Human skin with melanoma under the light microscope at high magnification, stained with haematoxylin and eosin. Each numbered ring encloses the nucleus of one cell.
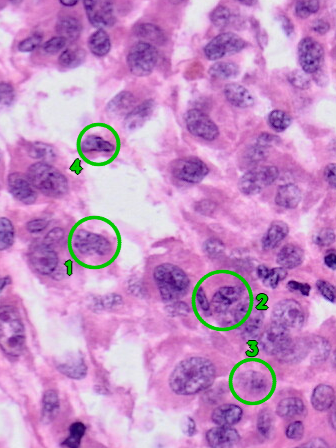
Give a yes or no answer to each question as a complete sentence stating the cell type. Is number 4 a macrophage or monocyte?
Yes, regarding number 4, the cell is a macrophage or monocyte.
